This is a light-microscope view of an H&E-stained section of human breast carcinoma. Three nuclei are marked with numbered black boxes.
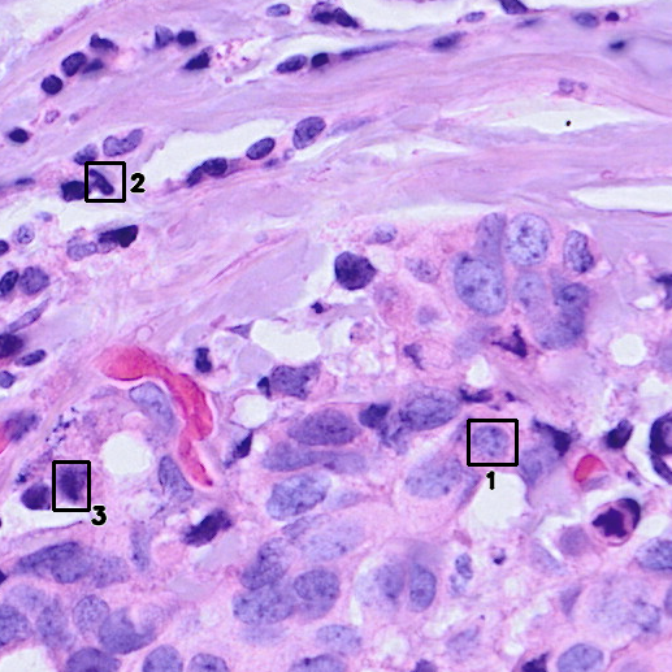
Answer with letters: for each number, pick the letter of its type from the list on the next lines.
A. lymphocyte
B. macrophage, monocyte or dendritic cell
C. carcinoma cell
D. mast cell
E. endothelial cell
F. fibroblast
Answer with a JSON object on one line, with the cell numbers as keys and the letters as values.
{"1": "C", "2": "A", "3": "C"}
